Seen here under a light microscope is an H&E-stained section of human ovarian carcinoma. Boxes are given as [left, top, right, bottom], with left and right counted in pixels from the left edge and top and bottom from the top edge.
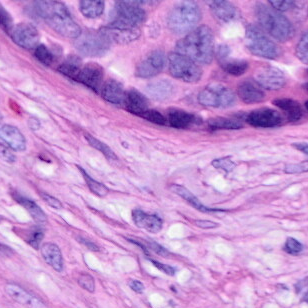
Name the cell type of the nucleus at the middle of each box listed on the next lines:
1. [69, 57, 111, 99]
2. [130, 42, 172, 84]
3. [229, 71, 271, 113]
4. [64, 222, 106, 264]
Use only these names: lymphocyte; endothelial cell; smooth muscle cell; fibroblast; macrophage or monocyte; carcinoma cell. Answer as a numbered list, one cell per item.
1. carcinoma cell
2. carcinoma cell
3. carcinoma cell
4. fibroblast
